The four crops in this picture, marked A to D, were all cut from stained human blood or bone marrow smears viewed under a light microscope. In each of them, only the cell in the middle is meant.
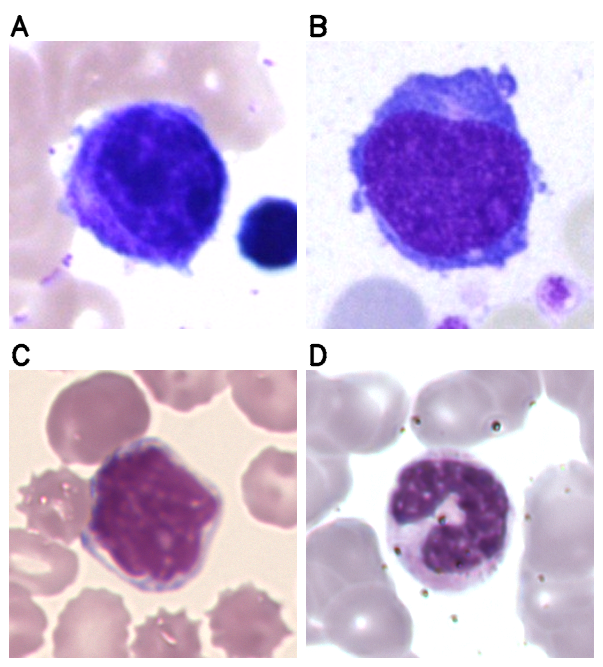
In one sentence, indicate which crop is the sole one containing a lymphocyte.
Crop C is the crop containing a lymphocyte.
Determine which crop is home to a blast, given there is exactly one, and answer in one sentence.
The sole crop showing a blast is crop B.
